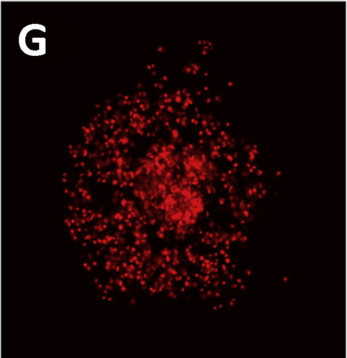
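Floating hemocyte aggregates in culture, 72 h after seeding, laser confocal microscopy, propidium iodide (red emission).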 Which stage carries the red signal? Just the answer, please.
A: Not viable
